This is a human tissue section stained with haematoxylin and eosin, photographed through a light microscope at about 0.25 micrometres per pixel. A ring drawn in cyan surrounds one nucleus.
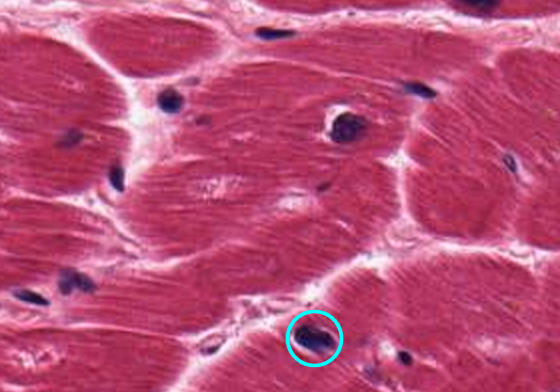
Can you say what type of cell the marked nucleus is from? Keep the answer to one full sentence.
The nucleus carrying the mark is the nucleus of a cardiomyocyte.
